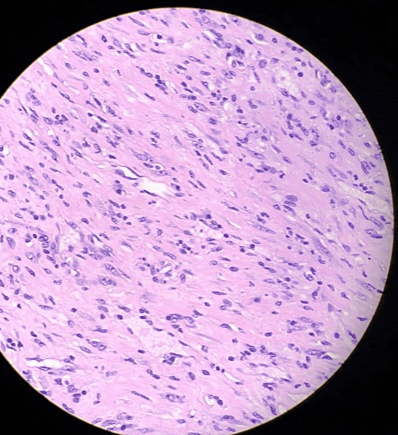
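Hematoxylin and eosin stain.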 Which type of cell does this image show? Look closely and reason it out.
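Most cells are elongated with tapering ends. Nuclei are oval to elongated and aligned along the cells' long axis. So: spindle cells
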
